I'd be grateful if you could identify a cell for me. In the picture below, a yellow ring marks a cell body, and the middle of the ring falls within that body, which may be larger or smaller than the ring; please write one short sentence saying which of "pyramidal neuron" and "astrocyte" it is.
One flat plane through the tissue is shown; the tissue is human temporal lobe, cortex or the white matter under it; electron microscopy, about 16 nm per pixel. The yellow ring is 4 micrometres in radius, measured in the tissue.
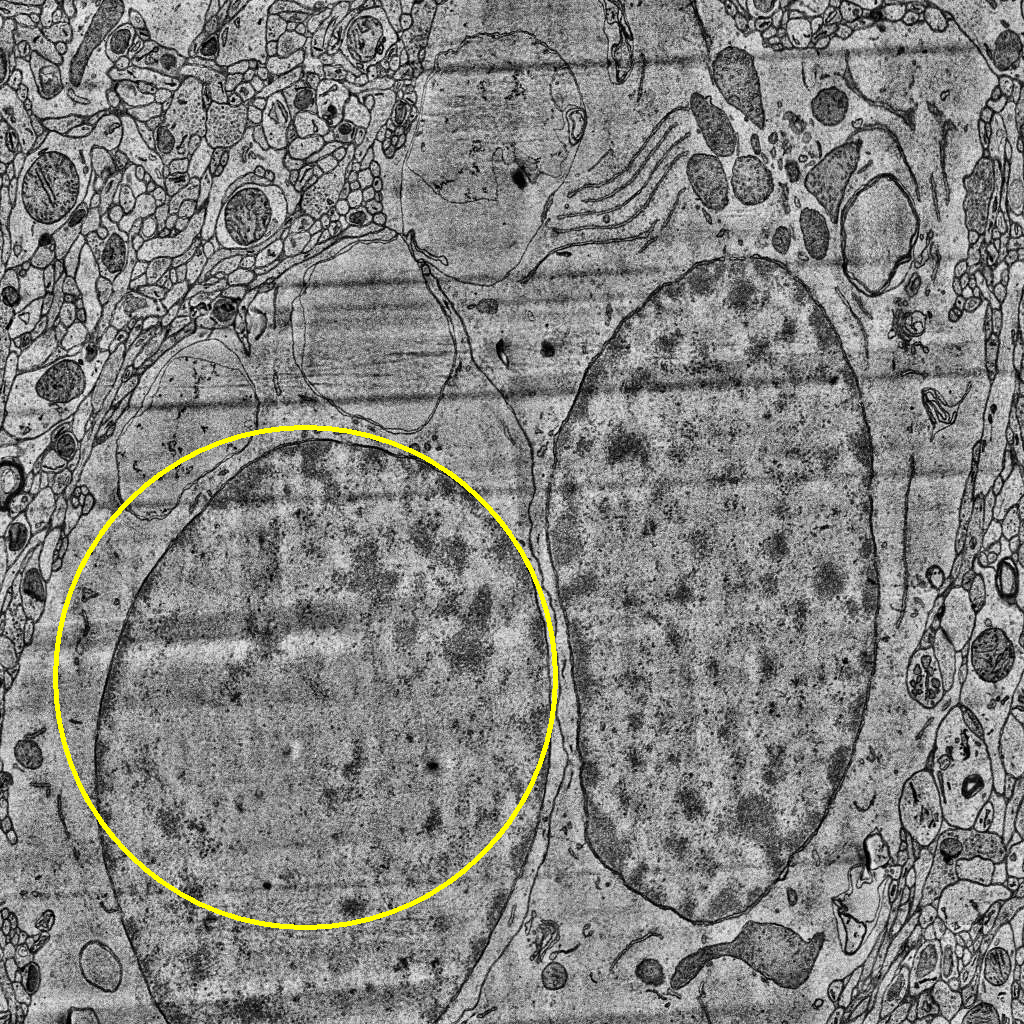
The cell under the ring's centre is an astrocyte.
